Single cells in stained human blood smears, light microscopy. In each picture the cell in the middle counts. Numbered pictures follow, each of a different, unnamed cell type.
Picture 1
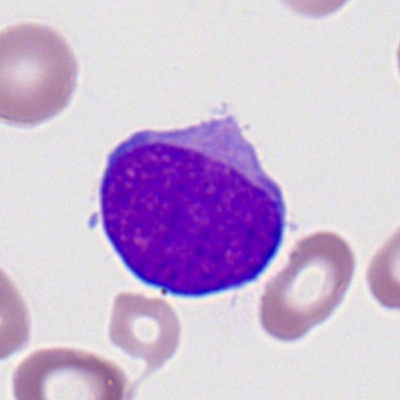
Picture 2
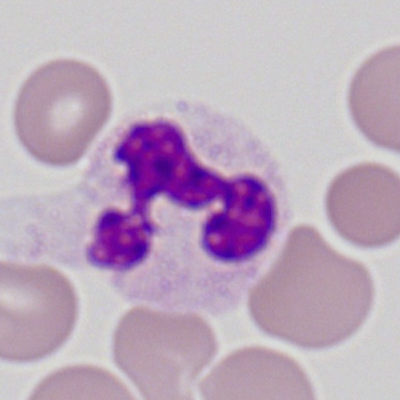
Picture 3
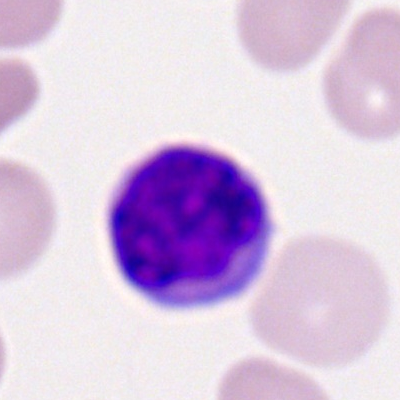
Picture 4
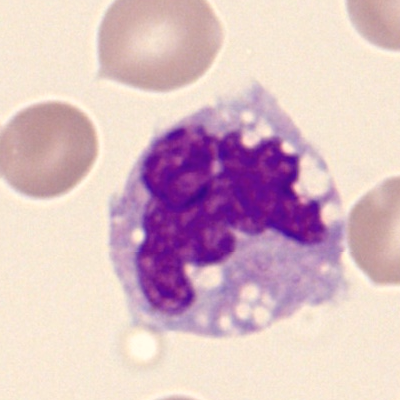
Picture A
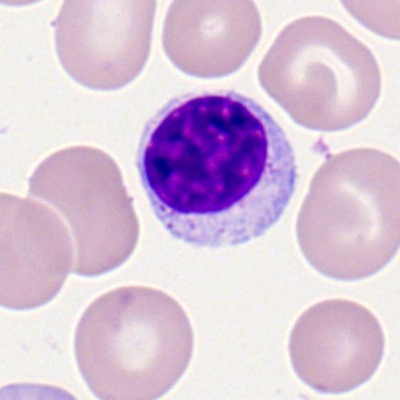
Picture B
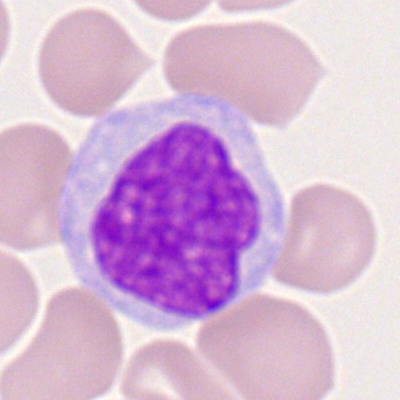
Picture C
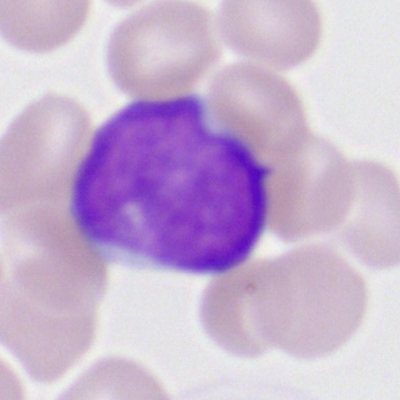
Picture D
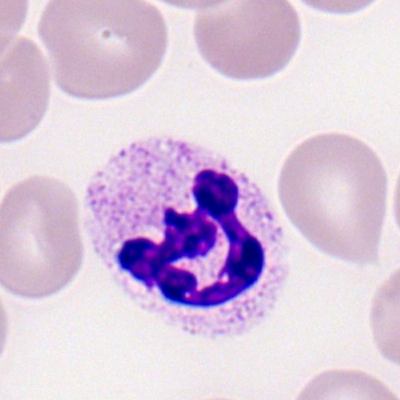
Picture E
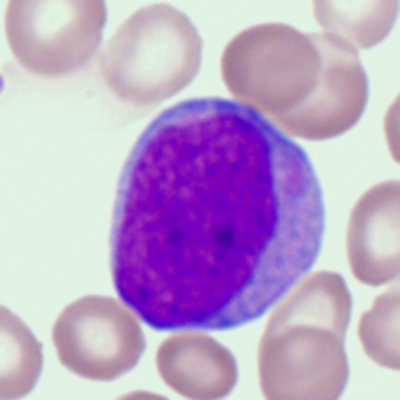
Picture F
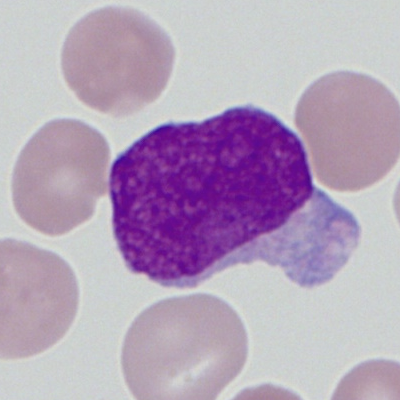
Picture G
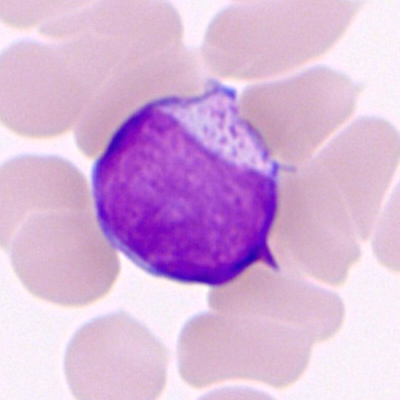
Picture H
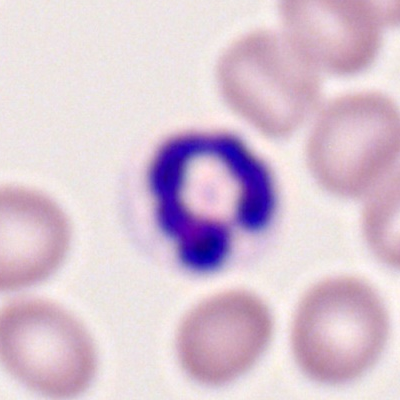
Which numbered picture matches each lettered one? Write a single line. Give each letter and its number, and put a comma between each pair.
A 3, B 4, C 1, D 2, E 1, F 1, G 1, H 2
